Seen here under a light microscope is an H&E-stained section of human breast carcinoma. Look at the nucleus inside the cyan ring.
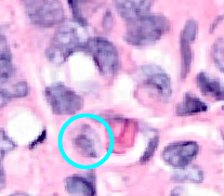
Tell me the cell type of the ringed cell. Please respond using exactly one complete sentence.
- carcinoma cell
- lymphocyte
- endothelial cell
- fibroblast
On this particular slide, the ringed cell is an endothelial cell.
